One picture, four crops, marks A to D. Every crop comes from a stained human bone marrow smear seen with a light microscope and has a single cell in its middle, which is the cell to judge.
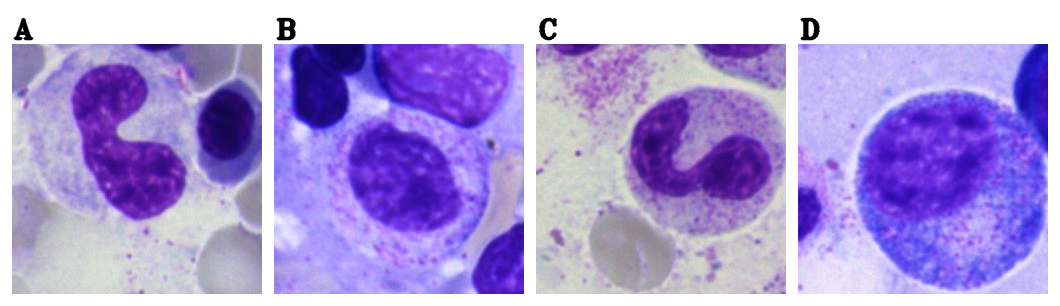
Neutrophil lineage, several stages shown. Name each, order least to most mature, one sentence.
Ranking by maturity from lowest to highest gives crop D (a promyelocyte), crop B (a myelocyte), crop A (a band neutrophil) and crop C (a segmented neutrophil).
